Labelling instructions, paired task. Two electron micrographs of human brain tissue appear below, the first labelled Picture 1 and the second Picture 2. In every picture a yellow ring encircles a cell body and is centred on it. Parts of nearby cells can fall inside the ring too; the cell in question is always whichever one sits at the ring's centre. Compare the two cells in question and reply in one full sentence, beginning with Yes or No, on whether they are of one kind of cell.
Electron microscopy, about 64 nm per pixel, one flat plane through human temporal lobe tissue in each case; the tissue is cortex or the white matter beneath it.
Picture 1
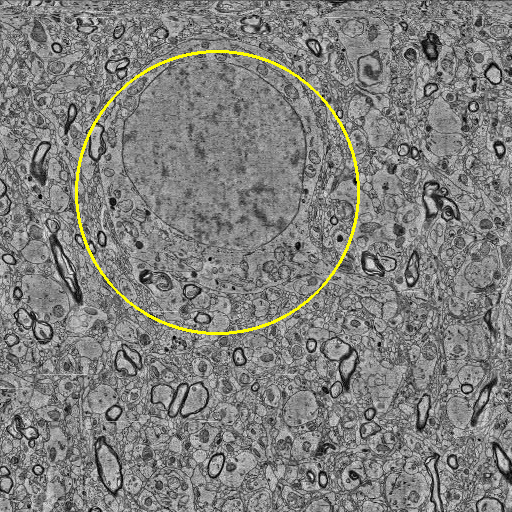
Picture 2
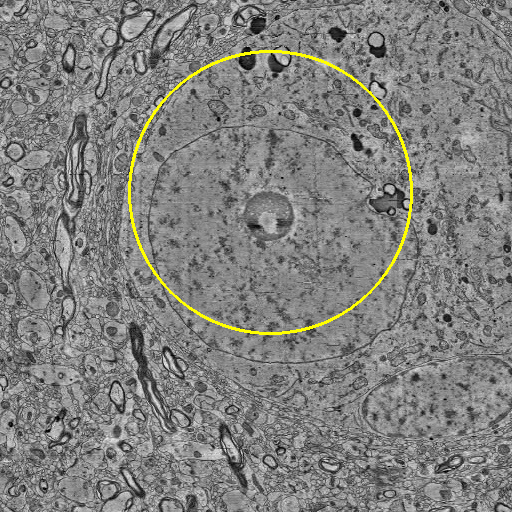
Yes, the two cells at the ring centres in Picture 1 and Picture 2 are of one kind.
